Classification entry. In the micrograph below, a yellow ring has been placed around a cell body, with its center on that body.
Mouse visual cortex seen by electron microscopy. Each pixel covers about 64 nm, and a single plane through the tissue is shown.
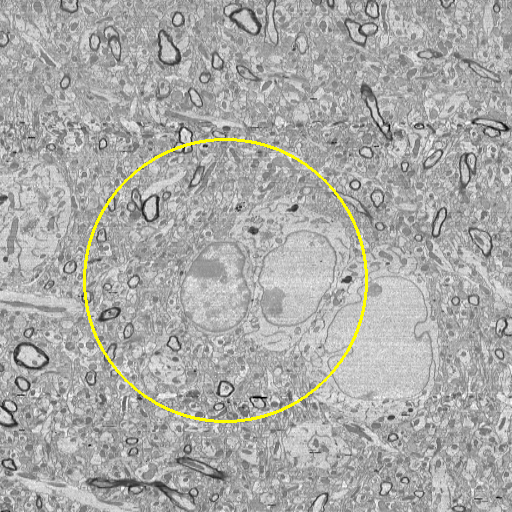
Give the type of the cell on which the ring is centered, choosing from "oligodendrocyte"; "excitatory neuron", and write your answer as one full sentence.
The cell body at the center of the yellow ring belongs to an oligodendrocyte.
